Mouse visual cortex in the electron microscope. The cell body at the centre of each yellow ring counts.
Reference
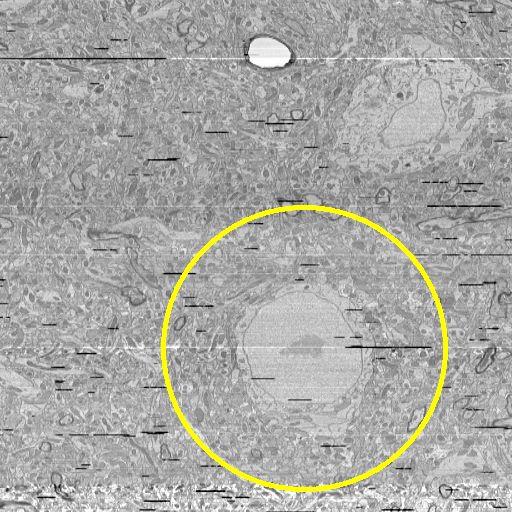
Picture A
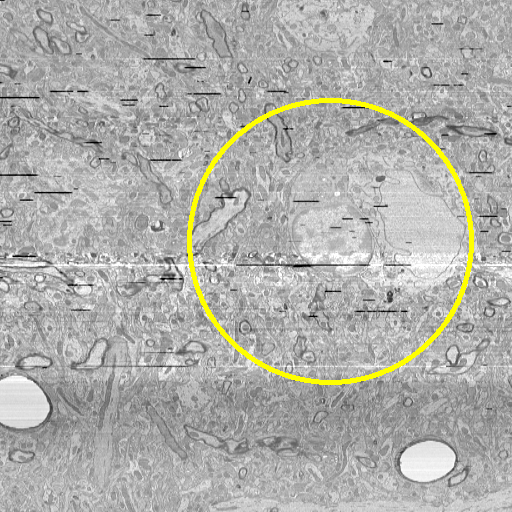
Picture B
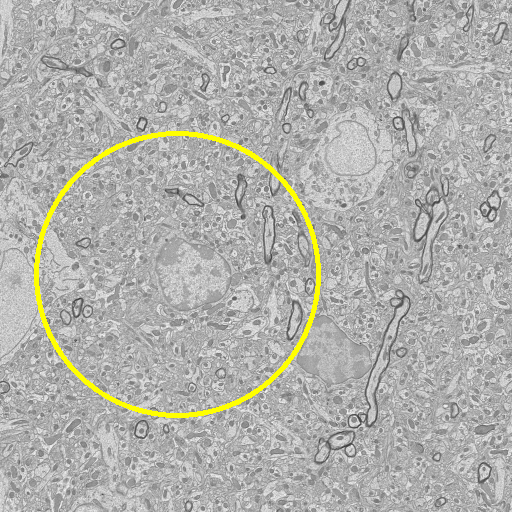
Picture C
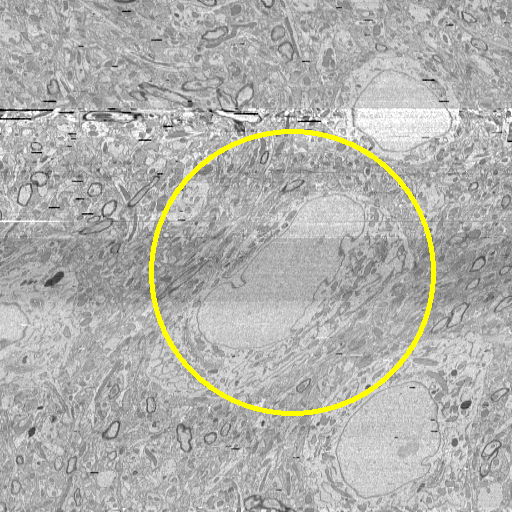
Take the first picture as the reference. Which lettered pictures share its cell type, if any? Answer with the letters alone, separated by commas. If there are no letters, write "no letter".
no letter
